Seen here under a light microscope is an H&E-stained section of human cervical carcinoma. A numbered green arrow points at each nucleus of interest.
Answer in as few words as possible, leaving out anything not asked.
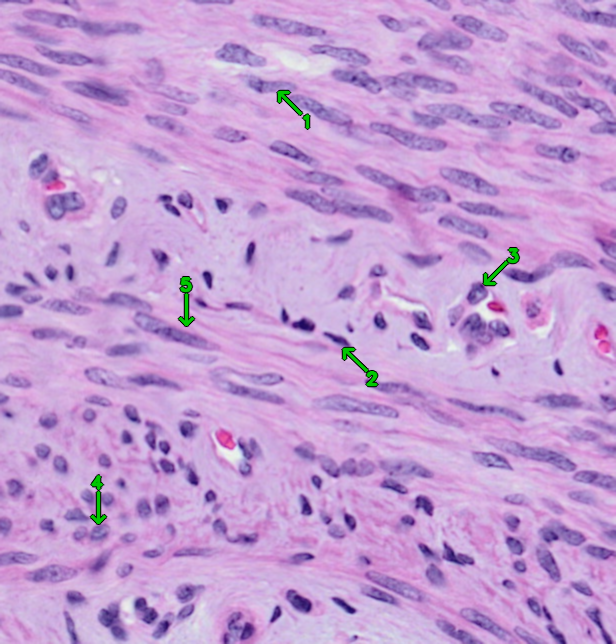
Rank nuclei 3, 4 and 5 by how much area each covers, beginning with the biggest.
5, 3, 4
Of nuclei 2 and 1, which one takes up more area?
1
